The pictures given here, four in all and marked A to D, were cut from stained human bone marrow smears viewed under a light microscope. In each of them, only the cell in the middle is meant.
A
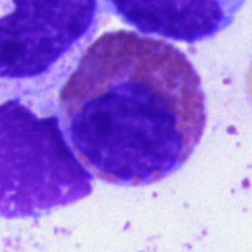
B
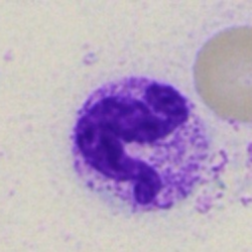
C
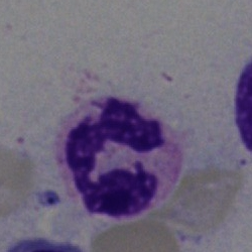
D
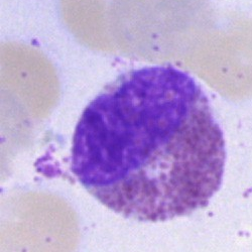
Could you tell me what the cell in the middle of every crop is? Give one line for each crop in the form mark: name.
A: eosinophil
B: segmented neutrophil
C: segmented neutrophil
D: eosinophil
